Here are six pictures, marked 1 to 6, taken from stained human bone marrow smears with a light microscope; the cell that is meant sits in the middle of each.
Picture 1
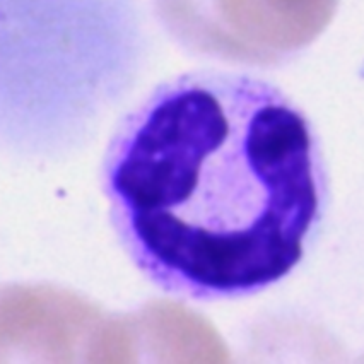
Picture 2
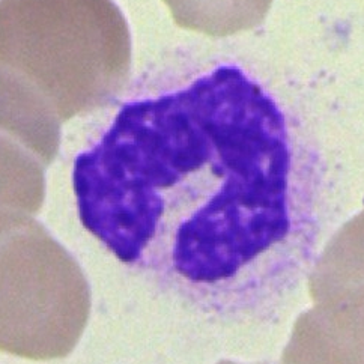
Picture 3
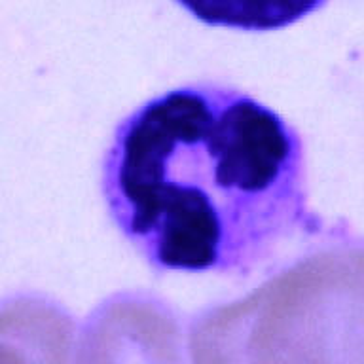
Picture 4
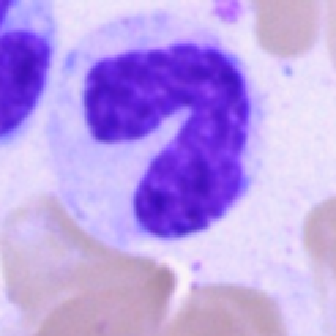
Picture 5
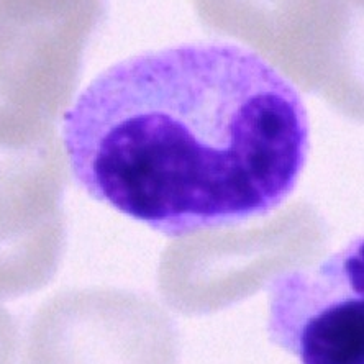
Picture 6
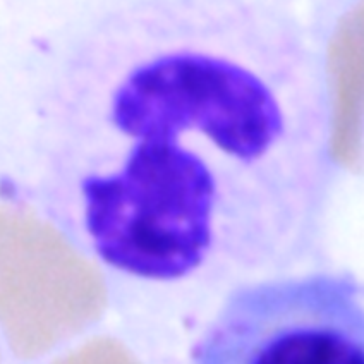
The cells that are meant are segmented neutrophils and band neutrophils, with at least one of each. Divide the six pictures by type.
1: segmented neutrophil
2: band neutrophil
3: segmented neutrophil
4: band neutrophil
5: band neutrophil
6: segmented neutrophil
